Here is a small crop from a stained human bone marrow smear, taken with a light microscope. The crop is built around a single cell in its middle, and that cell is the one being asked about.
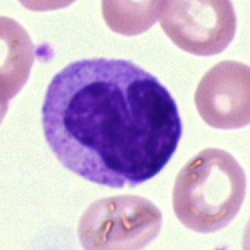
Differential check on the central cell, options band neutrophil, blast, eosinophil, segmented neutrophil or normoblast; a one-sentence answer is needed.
Whatever else lies nearby, the middle cell is a band neutrophil.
